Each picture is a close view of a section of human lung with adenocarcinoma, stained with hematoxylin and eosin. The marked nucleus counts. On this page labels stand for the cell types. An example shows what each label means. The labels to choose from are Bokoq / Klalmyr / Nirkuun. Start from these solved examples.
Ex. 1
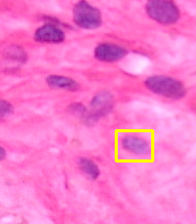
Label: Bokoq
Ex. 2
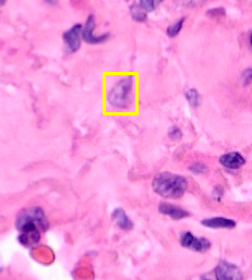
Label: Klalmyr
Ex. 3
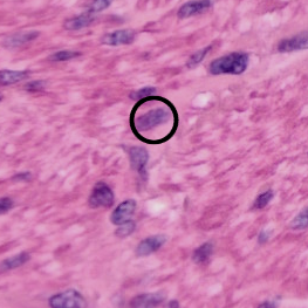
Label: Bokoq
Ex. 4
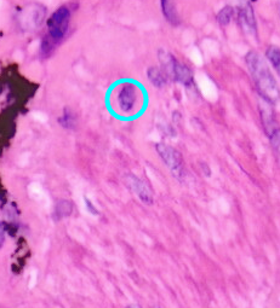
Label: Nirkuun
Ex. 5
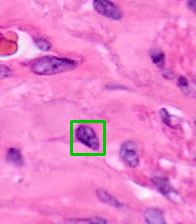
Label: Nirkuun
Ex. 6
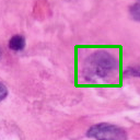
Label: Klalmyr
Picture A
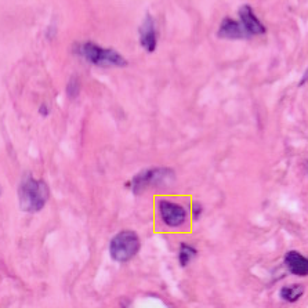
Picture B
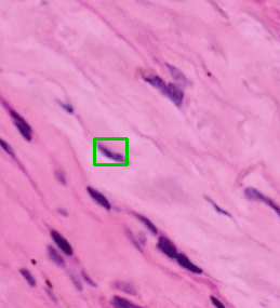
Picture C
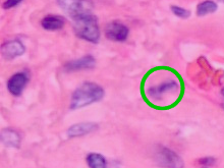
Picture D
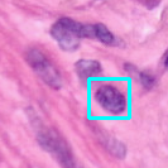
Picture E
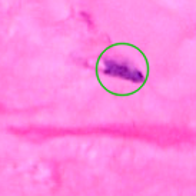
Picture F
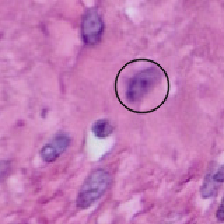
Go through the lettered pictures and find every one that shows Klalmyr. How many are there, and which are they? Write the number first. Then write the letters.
4: B, C, E, F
